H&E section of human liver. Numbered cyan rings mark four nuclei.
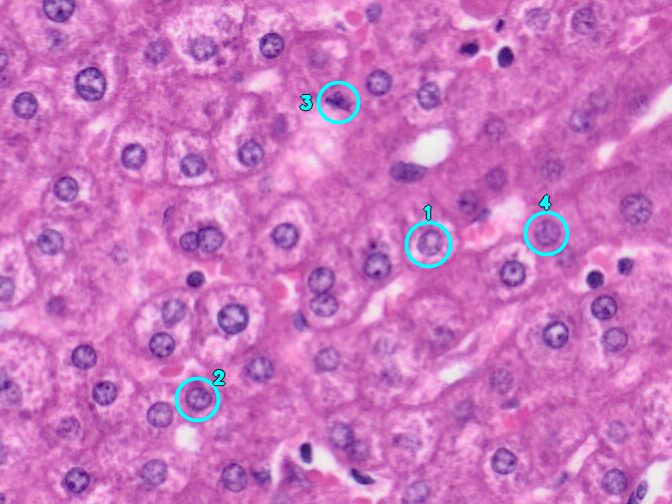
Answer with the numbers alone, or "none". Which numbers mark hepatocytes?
1, 2, 4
